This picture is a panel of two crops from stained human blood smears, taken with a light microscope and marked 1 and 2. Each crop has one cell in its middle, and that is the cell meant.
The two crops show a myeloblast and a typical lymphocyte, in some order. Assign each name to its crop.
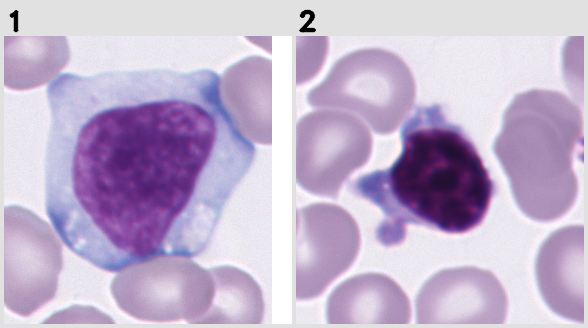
1: myeloblast
2: typical lymphocyte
